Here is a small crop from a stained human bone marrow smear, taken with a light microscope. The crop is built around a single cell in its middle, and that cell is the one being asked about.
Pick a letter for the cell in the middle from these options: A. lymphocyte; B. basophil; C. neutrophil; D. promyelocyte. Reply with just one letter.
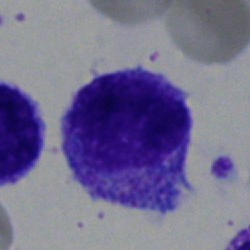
D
